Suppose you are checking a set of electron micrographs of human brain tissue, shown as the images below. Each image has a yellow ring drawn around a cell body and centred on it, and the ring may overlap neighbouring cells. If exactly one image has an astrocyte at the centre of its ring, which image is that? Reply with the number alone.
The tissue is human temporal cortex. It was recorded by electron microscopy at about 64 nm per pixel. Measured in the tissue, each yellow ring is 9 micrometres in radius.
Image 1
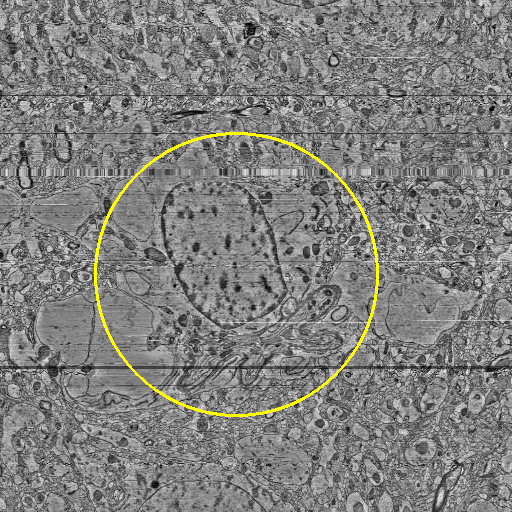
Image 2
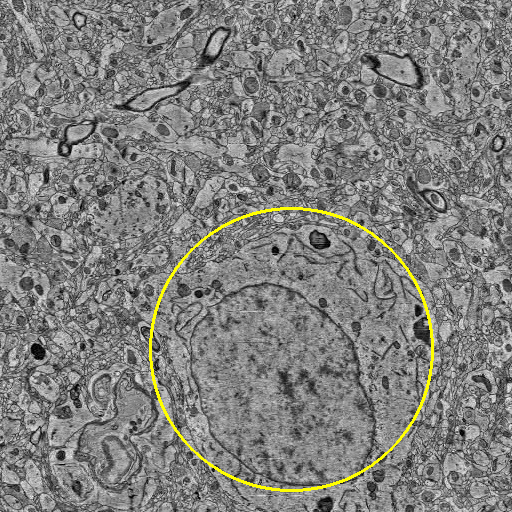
1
